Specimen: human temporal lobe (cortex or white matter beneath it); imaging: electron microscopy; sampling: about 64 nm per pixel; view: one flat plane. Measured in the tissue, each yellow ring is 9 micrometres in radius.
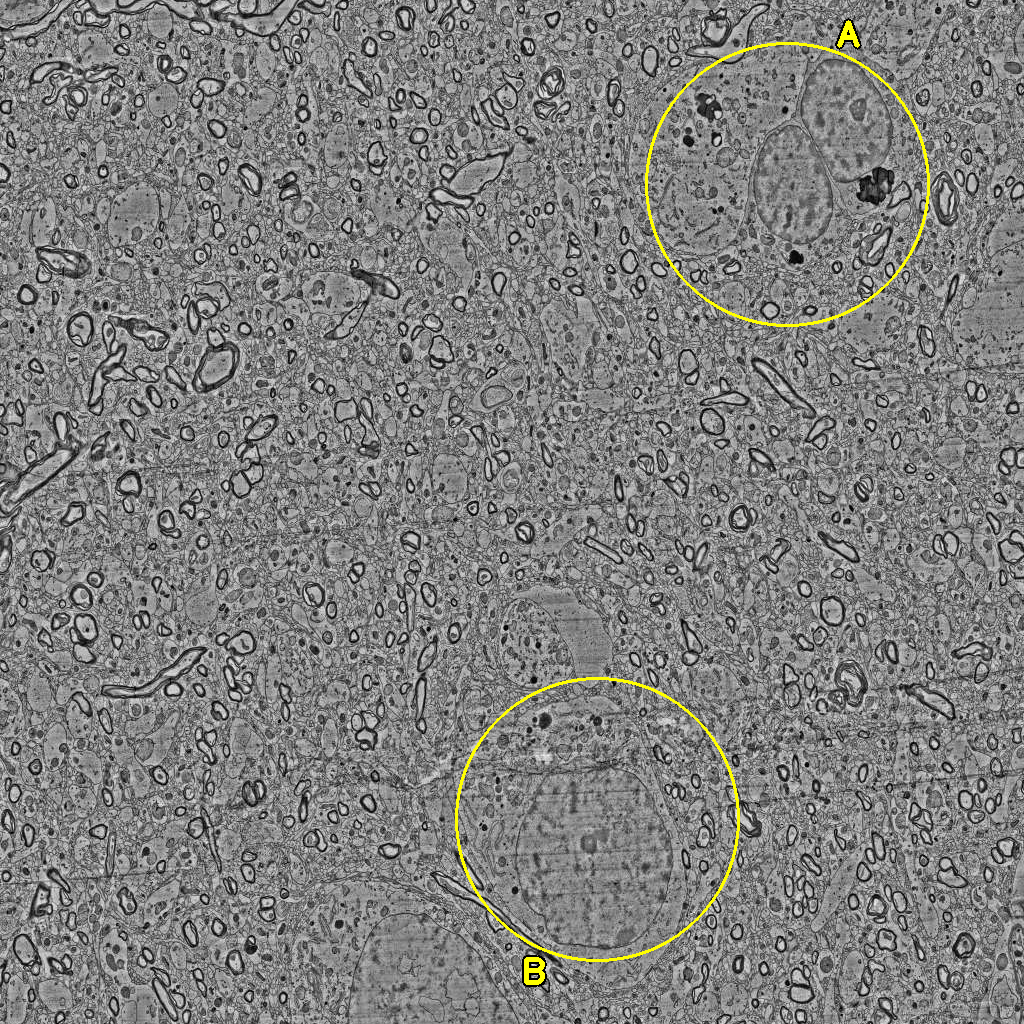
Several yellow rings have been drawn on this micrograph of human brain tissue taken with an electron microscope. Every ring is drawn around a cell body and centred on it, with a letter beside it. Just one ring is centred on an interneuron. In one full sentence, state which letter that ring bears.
At the centre of ring B is a cell of that kind.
